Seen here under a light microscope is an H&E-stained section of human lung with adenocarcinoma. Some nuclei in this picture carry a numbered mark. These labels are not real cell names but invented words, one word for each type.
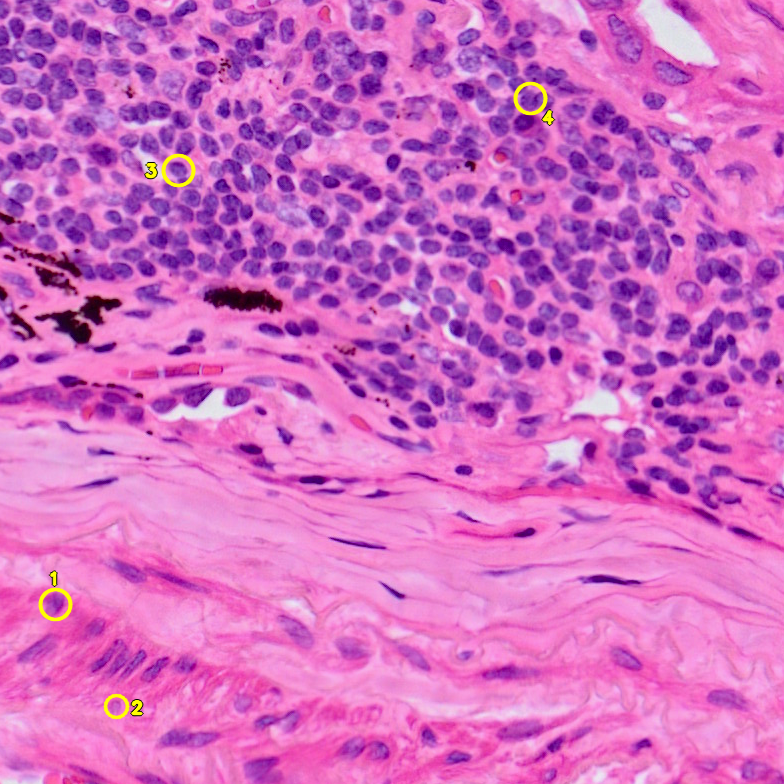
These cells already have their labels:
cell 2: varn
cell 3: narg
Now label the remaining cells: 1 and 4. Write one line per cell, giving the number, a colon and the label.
1: varn
4: narg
